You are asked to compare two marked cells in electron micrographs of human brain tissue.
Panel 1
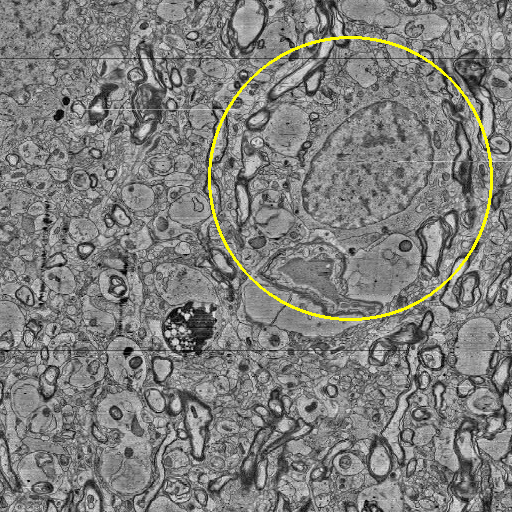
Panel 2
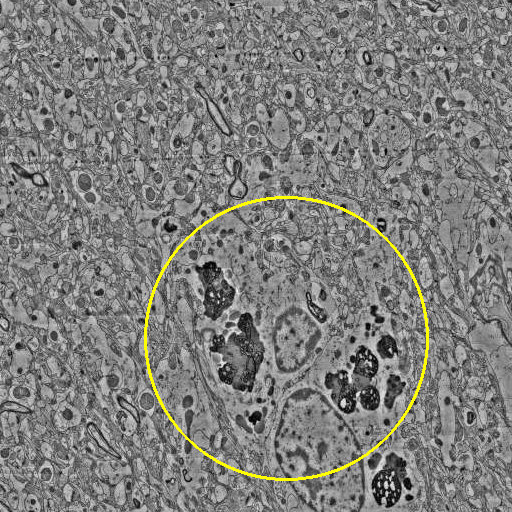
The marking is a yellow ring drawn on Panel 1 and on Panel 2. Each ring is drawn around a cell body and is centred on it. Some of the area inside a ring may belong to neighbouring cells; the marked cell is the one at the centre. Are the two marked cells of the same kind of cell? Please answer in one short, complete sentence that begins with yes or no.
No, the two marked cells are of two kinds.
